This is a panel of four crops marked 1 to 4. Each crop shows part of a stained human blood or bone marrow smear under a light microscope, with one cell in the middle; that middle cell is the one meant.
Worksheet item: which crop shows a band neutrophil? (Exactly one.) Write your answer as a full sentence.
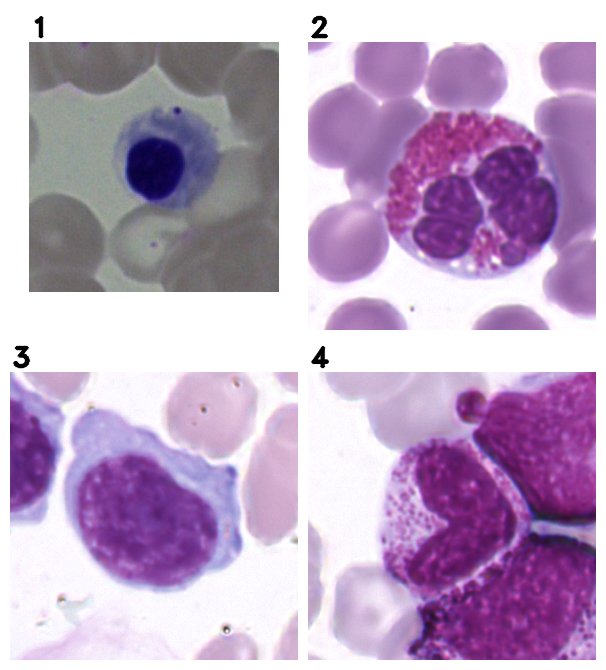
In this set, crop 4 is the one showing a band neutrophil.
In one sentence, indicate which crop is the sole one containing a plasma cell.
Crop 3 matches the request, showing a plasma cell.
